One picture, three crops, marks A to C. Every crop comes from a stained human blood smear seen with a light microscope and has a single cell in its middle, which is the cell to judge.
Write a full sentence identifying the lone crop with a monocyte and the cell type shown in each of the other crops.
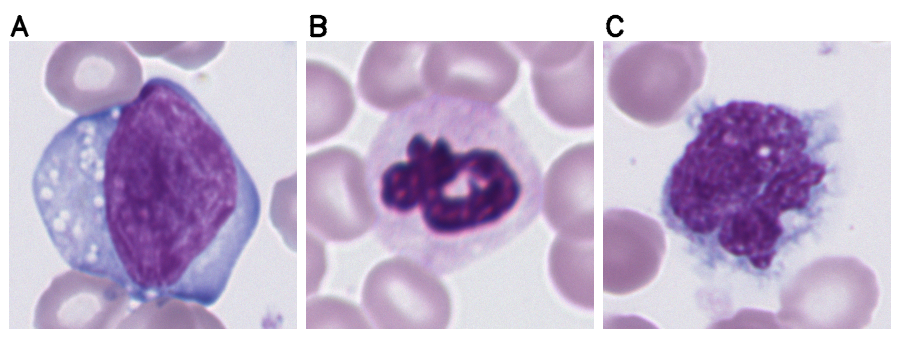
The cell at the centre of crop C is a monocyte, while crop A is a myeloblast and crop B is a segmented neutrophil.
